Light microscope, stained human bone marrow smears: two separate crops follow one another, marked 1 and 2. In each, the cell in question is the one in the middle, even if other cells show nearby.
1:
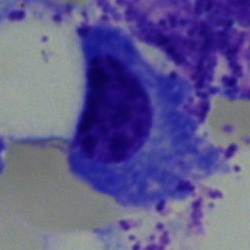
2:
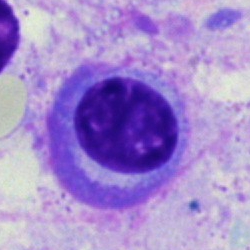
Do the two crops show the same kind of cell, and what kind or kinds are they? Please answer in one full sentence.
Yes, the middle cells in both crops are indeed plasma cells.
